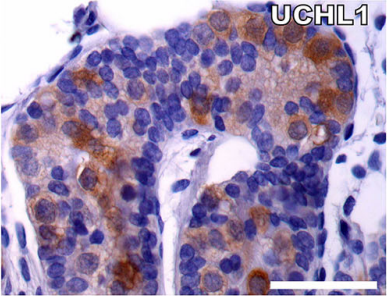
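Seminiferous tubules filled with densely packed cells, separated by a narrow space of interstitium. Many large rounded germ cells with round nuclei carry brown cytoplasmic stain, some intensely, lying among smaller cells with blue elongated or oval nuclei that are unstained.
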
